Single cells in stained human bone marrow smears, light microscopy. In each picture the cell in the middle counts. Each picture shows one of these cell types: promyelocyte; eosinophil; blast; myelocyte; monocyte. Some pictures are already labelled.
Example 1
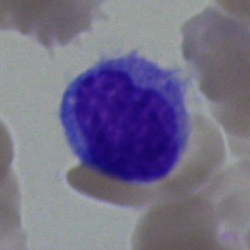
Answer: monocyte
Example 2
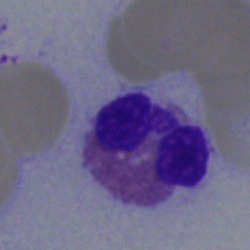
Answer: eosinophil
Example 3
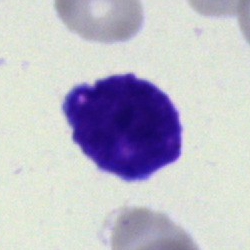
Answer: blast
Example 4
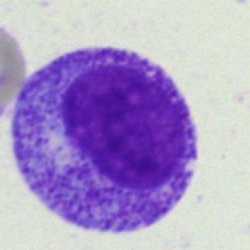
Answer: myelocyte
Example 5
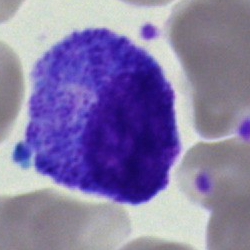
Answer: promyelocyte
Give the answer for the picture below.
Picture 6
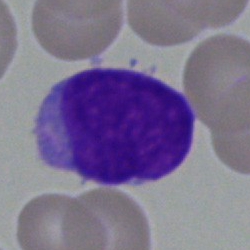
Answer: blast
